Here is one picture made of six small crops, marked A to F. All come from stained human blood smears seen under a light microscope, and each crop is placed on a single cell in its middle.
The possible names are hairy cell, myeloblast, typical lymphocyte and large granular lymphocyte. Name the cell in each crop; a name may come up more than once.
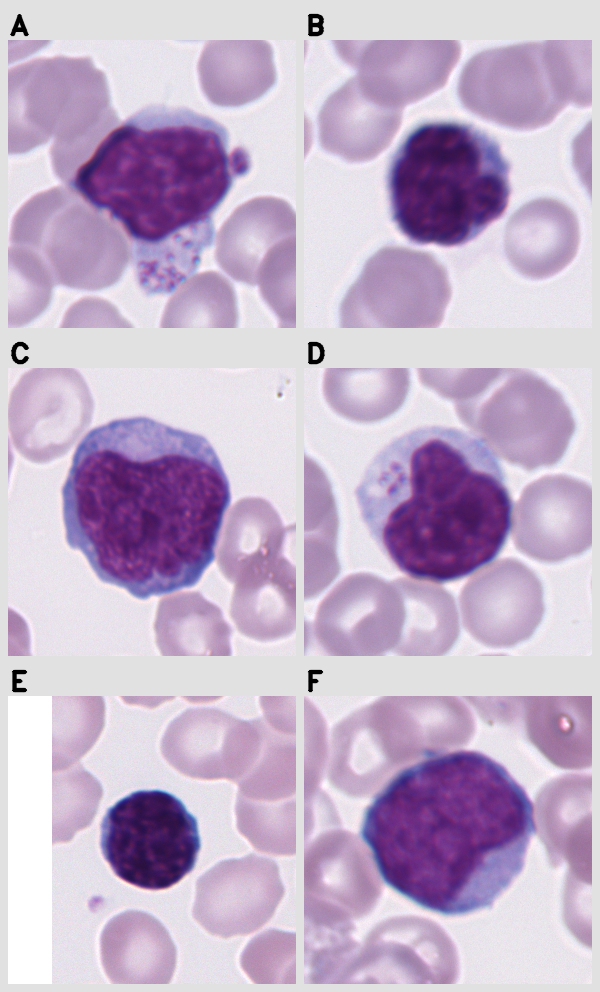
A: large granular lymphocyte
B: typical lymphocyte
C: myeloblast
D: large granular lymphocyte
E: typical lymphocyte
F: myeloblast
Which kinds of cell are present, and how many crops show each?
large granular lymphocyte: 2
typical lymphocyte: 2
myeloblast: 2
